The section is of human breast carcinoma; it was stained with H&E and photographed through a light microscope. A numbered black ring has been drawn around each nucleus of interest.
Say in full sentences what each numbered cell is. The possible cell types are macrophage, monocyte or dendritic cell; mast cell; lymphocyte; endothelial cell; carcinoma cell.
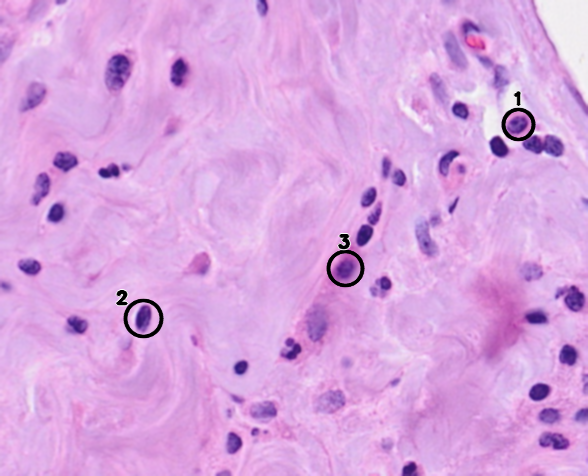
Cells 1 and 3 are mast cells. Cell 2 is a lymphocyte.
